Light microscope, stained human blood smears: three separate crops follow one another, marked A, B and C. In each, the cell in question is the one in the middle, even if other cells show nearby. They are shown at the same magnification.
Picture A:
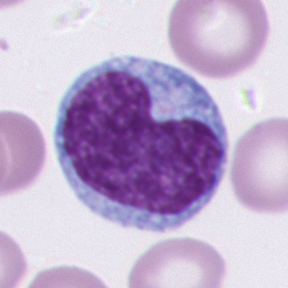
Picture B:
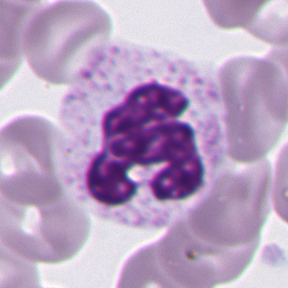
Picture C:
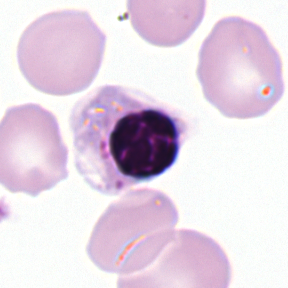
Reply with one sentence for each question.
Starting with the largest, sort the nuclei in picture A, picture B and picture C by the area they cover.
From the largest down, the order is A, B, C.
